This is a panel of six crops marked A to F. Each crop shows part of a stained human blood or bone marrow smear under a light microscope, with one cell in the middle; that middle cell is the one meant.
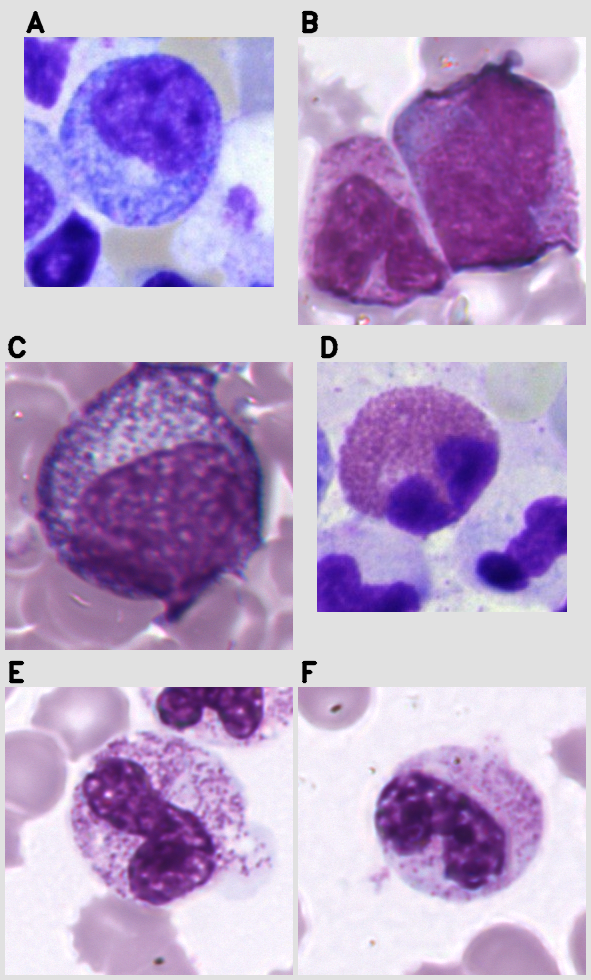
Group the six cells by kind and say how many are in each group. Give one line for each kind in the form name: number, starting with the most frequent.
promyelocyte: 3
band neutrophil: 2
eosinophil: 1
